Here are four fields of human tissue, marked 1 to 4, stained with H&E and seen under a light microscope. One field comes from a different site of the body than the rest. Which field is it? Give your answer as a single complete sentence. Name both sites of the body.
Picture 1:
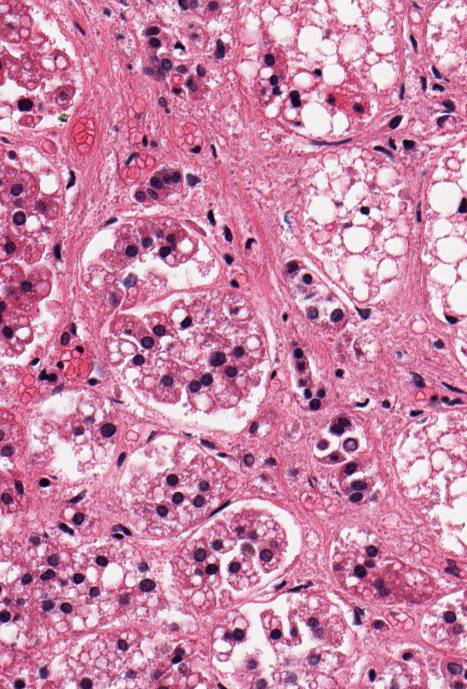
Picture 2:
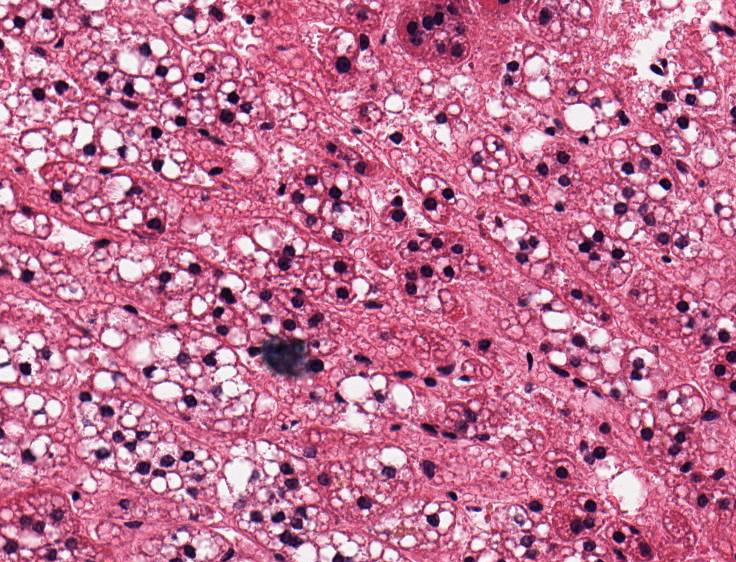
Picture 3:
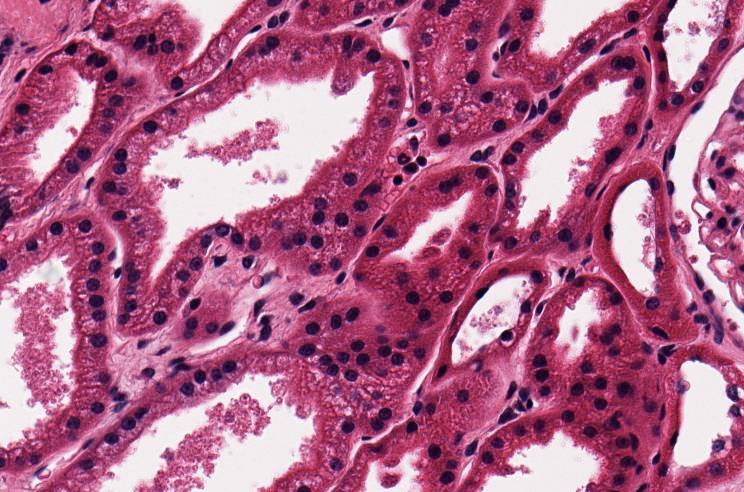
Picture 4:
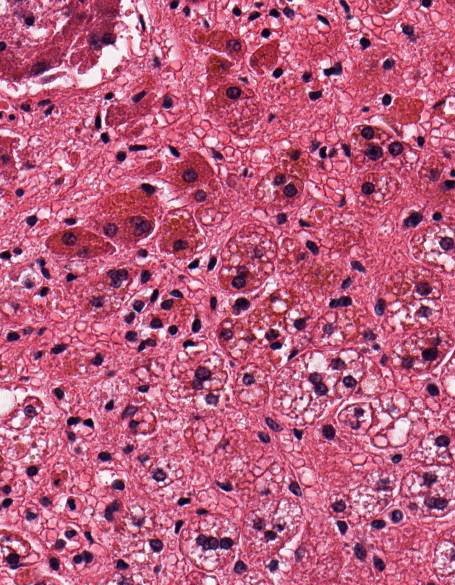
The others come from the adrenal gland, but picture 3 comes from the renal cortex.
